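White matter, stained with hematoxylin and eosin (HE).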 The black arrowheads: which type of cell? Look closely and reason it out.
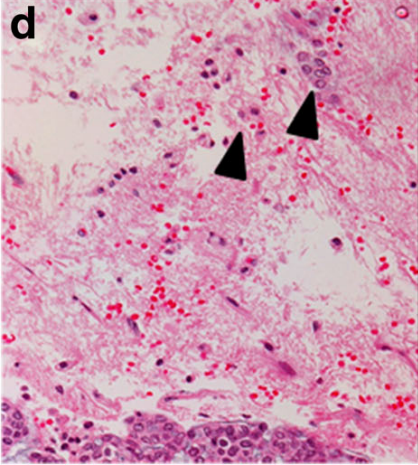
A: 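These cells are clustered, unlike the sparse nuclei of the surrounding pale fibrillary tissue. A dense sheet of similar purple-nucleated cells lies along the bottom edge.
Hence: cancer cells.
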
